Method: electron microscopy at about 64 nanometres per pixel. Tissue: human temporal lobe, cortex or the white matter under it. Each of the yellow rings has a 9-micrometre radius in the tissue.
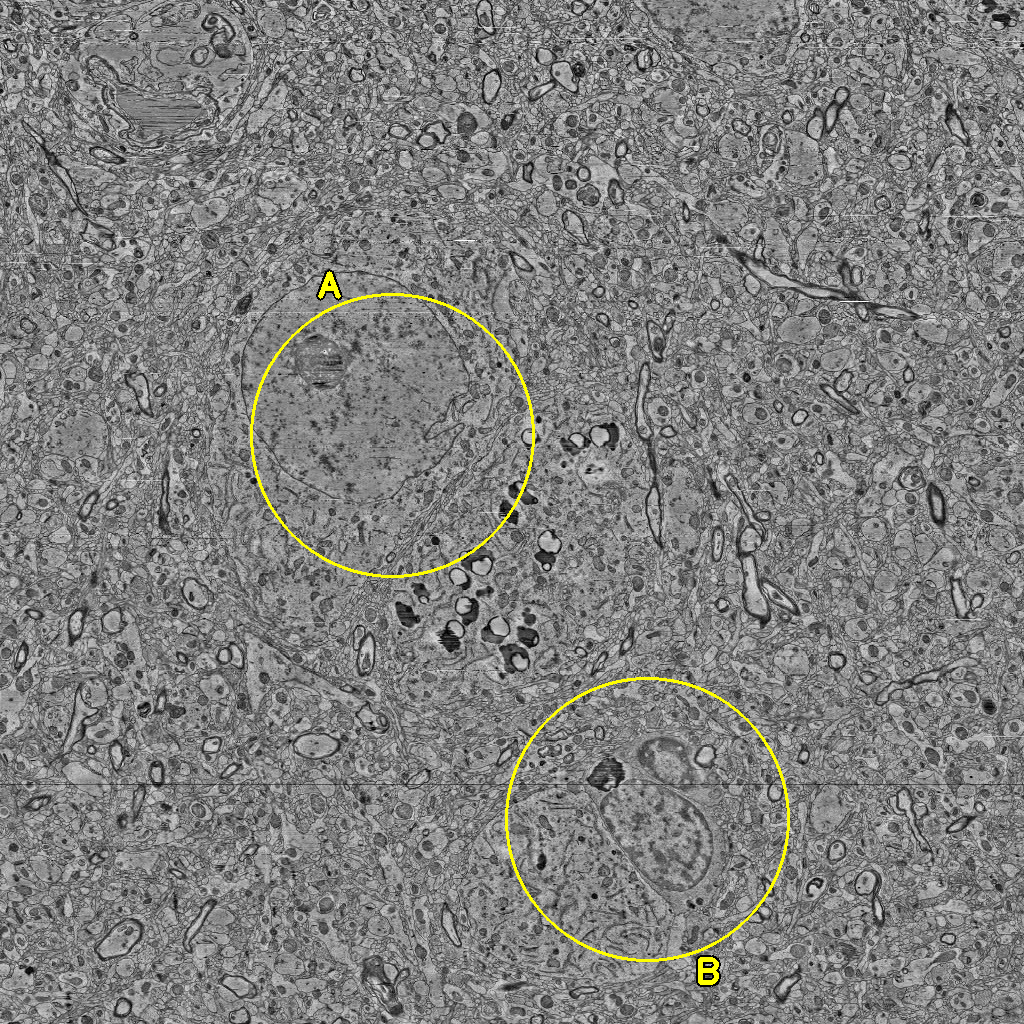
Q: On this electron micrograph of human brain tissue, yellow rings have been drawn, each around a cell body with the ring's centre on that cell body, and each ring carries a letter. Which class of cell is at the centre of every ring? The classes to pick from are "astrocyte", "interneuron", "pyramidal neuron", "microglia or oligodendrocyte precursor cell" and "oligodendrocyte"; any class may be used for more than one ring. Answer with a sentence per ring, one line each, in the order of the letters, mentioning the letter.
The centre of ring A is occupied by a pyramidal neuron.
The centre of ring B is occupied by an oligodendrocyte.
